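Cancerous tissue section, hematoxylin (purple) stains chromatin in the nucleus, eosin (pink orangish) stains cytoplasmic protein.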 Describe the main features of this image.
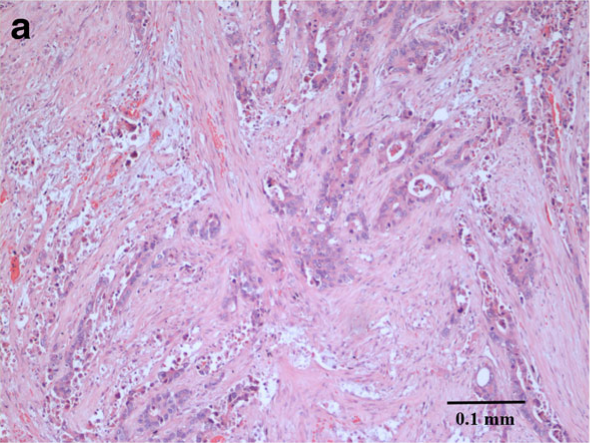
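This section shows an adenocarcinoma made of irregular, angulated glands infiltrating a pink fibrous and muscular stroma. Between the glands run bundles of pink spindle-shaped cells arranged in streaming fascicles. Small clusters of red blood cells are scattered in the stroma.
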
